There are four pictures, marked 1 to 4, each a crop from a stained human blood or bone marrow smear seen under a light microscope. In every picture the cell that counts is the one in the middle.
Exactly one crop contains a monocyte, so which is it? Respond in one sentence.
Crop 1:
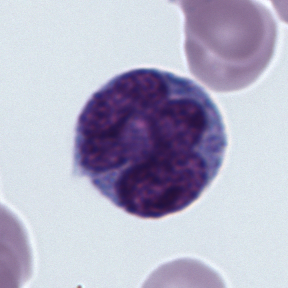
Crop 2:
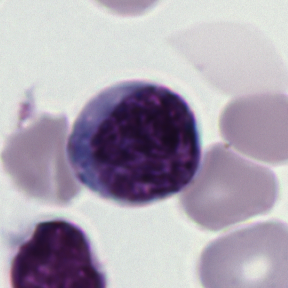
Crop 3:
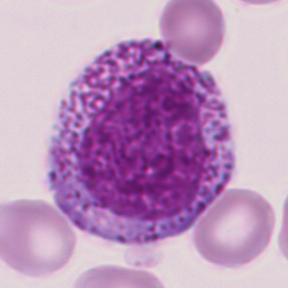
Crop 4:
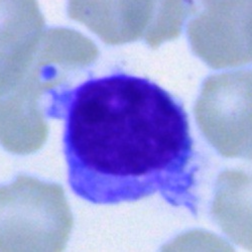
Only in crop 1 is a monocyte shown.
